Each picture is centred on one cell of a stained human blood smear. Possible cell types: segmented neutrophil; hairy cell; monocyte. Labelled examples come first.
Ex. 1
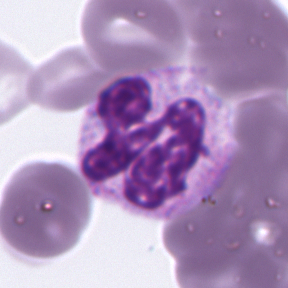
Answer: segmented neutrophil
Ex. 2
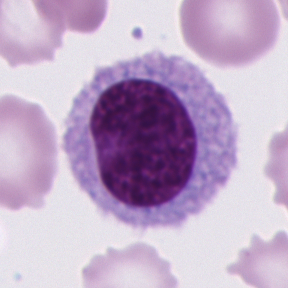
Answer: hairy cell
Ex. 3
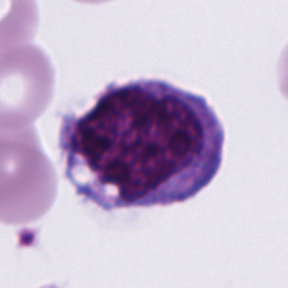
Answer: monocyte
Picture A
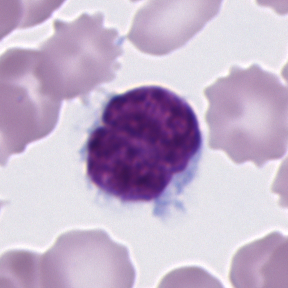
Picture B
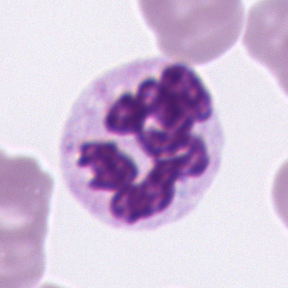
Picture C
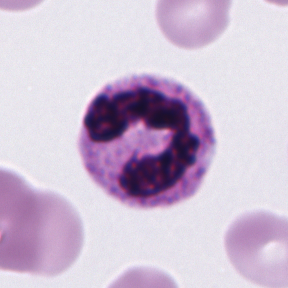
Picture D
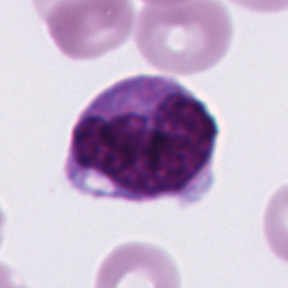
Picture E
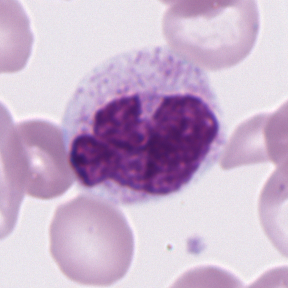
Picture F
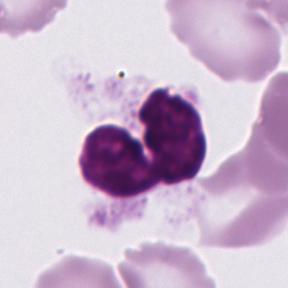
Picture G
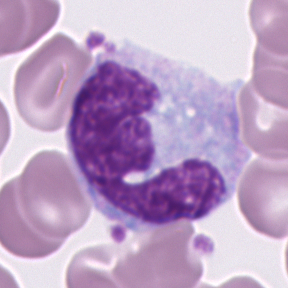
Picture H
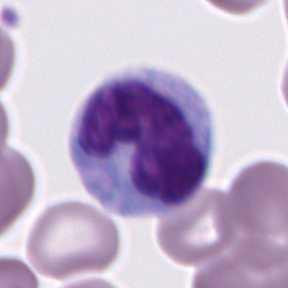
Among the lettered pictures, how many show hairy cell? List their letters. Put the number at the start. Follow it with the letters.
1, namely A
